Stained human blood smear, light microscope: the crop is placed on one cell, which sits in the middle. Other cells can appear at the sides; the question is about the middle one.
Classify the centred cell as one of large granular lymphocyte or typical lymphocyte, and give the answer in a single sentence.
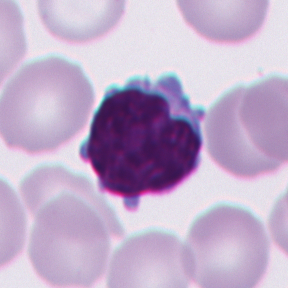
The centered cell in this crop is a typical lymphocyte.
